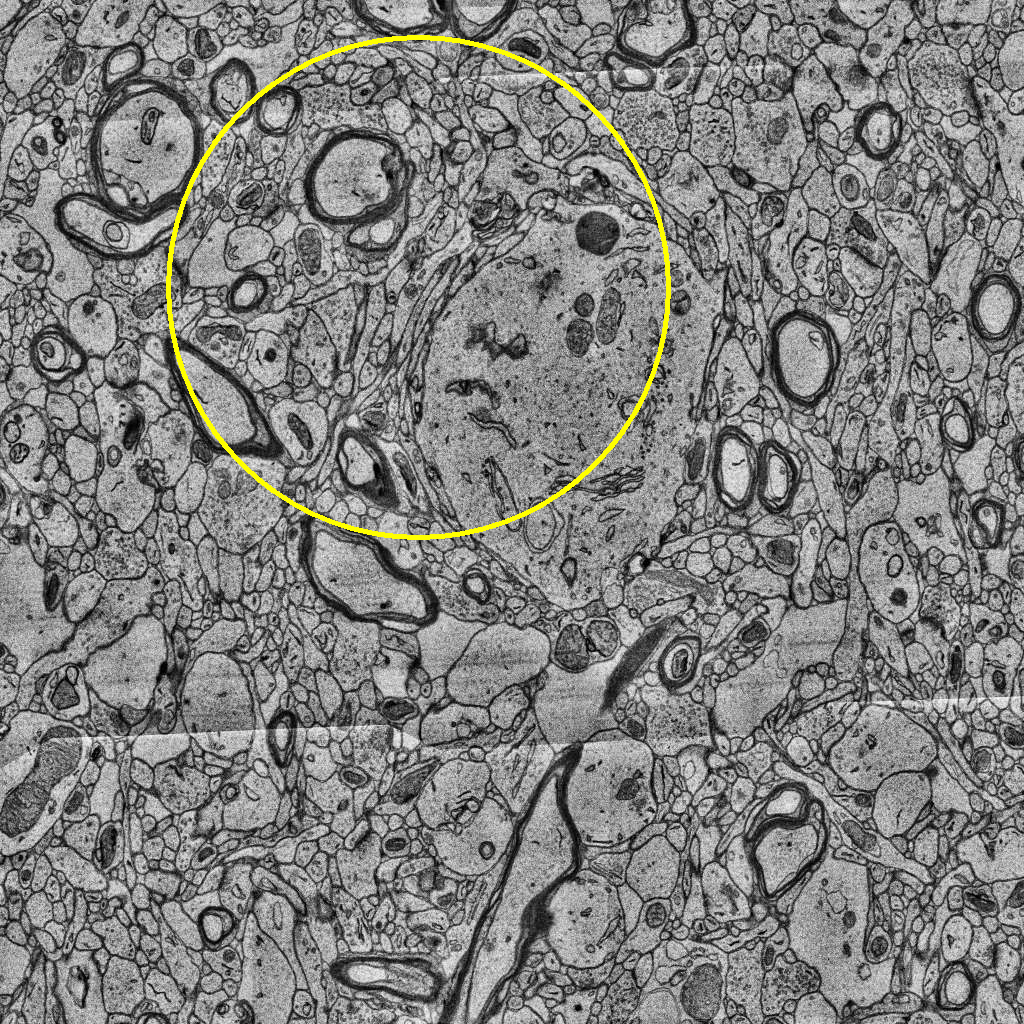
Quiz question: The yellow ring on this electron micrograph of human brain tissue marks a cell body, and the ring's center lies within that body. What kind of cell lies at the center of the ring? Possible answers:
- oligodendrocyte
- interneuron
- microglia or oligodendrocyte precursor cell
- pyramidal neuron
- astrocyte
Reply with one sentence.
The ring's center lies on a microglial cell or oligodendrocyte precursor cell.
